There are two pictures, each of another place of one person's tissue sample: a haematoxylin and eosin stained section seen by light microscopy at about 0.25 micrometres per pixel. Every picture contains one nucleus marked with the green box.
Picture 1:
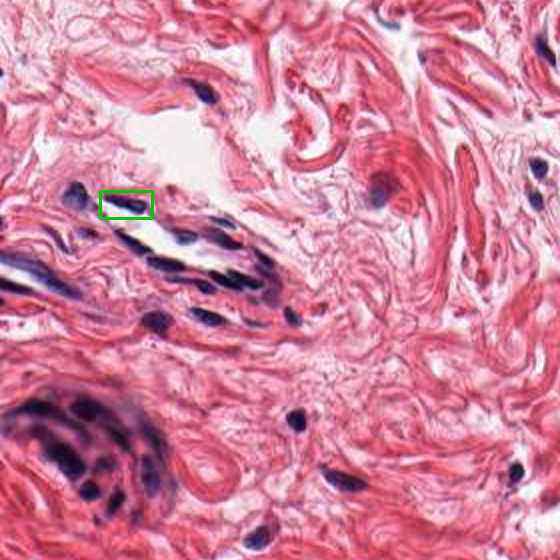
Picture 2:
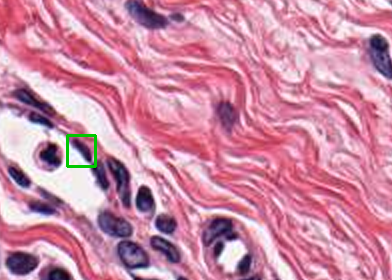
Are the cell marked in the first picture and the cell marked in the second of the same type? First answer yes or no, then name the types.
Yes, both are endothelial cells.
